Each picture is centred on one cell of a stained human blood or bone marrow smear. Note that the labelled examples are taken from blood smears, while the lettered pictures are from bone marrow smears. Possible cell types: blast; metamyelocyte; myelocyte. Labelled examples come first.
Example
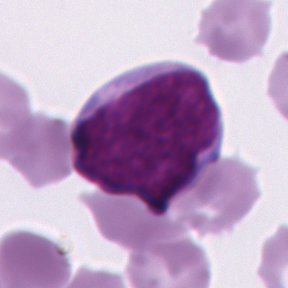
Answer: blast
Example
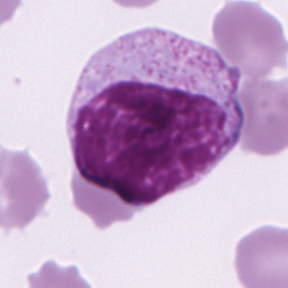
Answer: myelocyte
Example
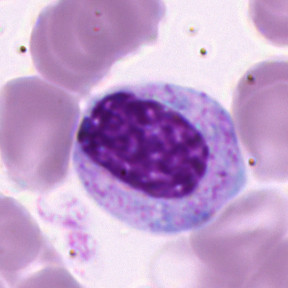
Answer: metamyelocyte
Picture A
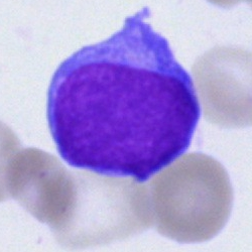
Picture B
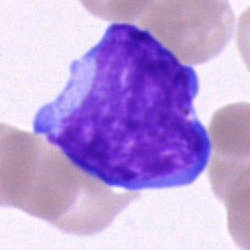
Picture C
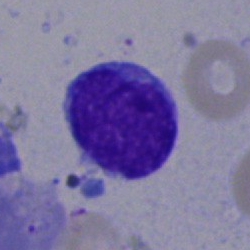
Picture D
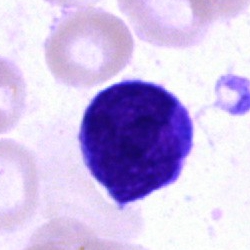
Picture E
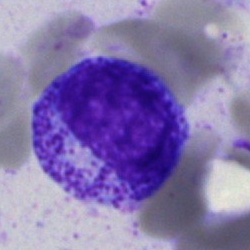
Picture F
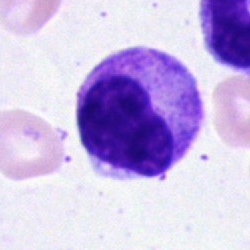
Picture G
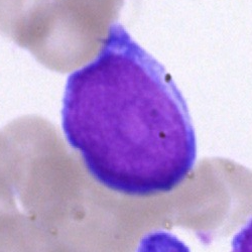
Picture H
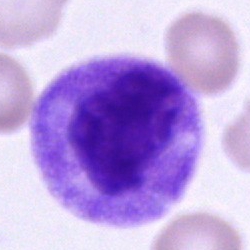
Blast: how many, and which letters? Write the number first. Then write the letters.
5: A, B, C, D, G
